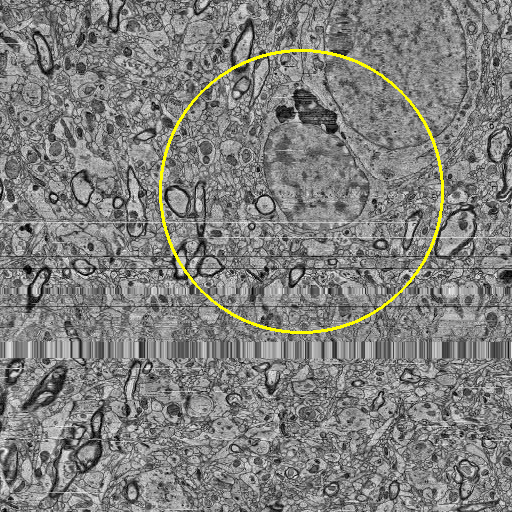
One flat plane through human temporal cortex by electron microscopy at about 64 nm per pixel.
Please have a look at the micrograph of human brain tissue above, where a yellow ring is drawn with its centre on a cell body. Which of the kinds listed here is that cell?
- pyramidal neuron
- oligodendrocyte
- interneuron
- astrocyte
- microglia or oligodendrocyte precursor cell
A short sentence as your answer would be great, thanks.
At the centre of the ring sits an oligodendrocyte.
